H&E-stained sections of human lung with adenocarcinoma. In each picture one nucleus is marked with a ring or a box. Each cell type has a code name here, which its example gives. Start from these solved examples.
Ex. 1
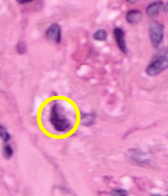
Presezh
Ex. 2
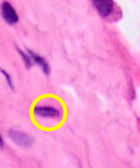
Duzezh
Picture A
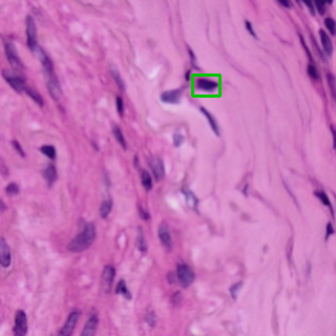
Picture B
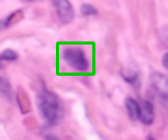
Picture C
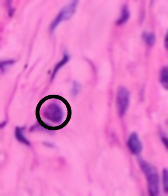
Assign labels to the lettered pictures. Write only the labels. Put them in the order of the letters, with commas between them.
Duzezh, Presezh, Presezh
